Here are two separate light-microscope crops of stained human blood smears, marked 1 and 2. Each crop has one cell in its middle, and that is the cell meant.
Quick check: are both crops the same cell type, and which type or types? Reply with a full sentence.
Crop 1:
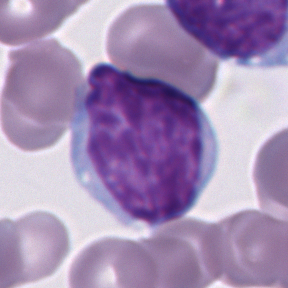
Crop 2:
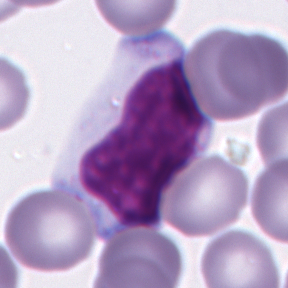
No, a typical lymphocyte is the cell of crop 2, while a myeloblast is the cell of crop 1.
